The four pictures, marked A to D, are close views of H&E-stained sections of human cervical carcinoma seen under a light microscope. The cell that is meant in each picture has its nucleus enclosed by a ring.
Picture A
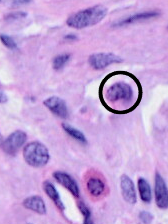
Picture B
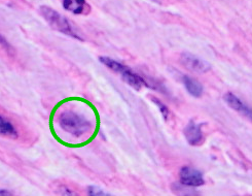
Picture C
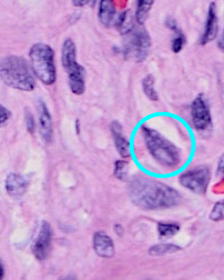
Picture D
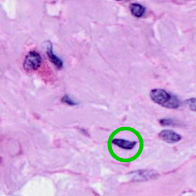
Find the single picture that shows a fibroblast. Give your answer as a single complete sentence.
Picture D shows the fibroblast.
